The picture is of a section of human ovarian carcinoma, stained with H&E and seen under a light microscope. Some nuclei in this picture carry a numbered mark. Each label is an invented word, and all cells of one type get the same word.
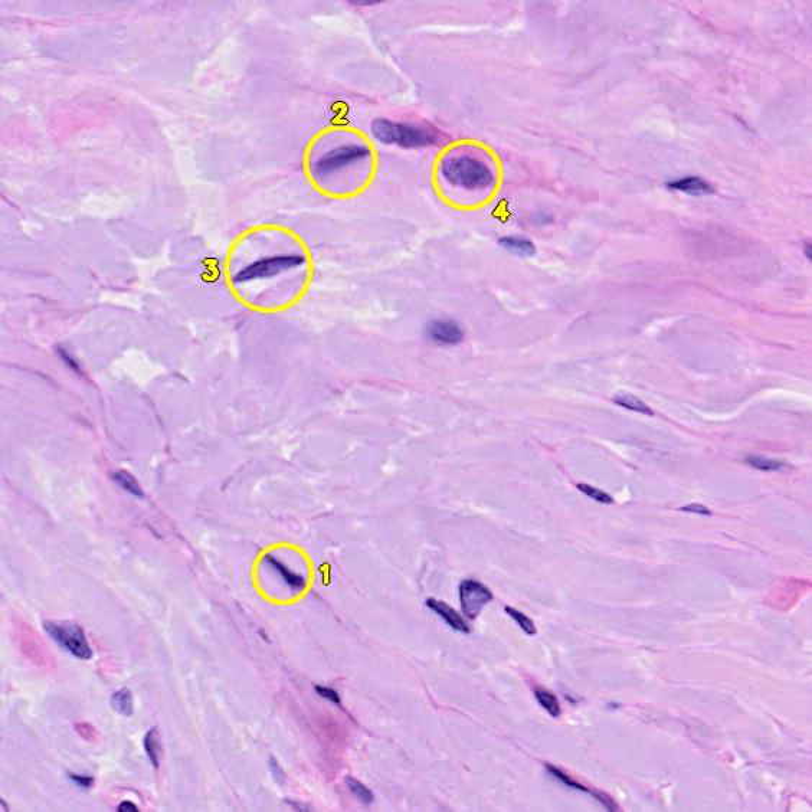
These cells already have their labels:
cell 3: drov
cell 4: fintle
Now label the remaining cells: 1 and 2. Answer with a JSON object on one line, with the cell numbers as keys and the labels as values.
{"1": "drov", "2": "drov"}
